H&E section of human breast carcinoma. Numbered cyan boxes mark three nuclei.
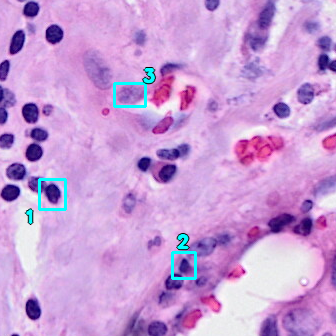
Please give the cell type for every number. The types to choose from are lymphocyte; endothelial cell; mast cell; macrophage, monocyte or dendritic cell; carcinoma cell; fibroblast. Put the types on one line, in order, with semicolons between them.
lymphocyte; lymphocyte; endothelial cell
